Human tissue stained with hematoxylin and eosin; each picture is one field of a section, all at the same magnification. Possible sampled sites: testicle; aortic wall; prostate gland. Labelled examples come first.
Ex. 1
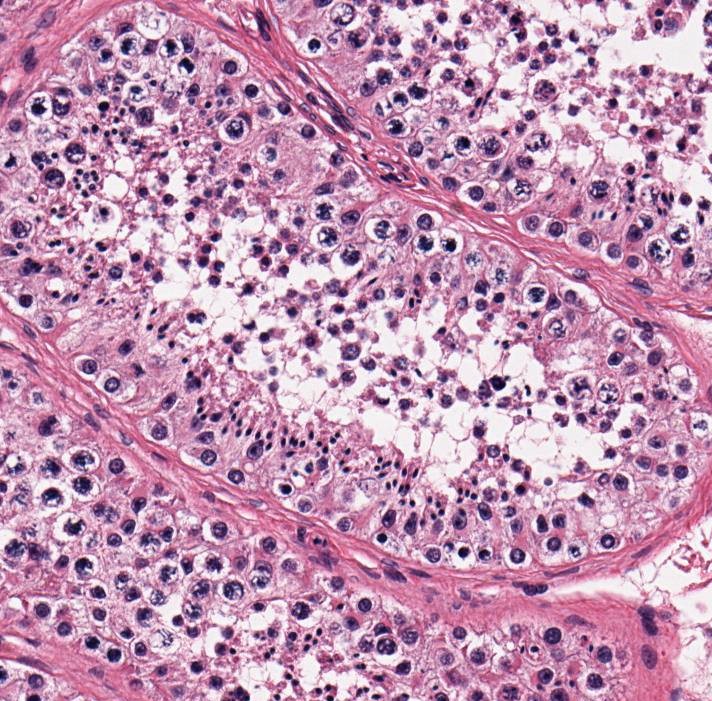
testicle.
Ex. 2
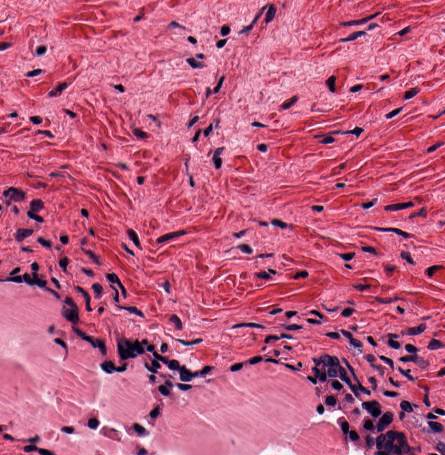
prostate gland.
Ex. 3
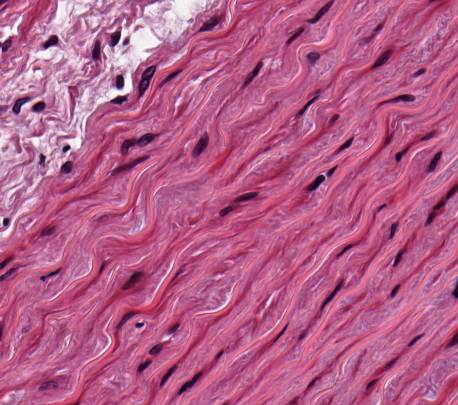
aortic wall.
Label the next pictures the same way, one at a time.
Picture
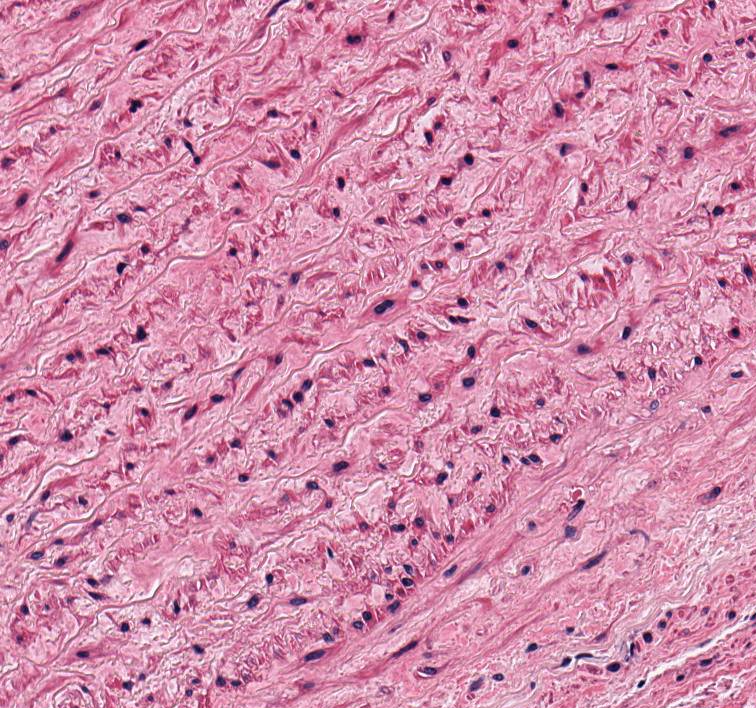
aortic wall.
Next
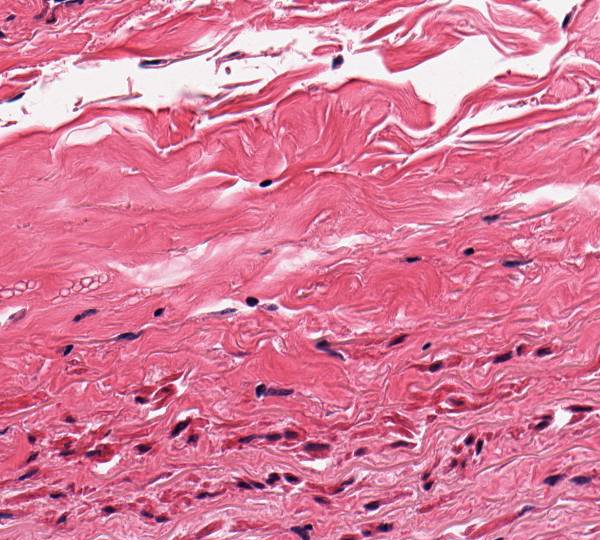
aortic wall.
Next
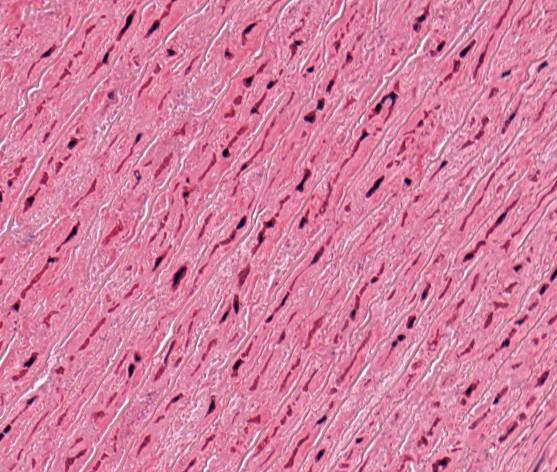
aortic wall.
